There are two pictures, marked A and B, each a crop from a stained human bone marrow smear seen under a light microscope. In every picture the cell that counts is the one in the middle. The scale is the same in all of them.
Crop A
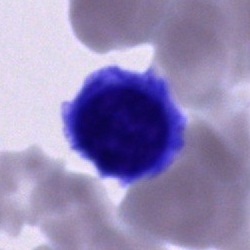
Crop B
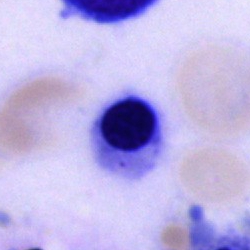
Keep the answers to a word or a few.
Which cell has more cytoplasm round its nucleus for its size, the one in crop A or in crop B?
B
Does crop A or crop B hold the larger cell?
A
